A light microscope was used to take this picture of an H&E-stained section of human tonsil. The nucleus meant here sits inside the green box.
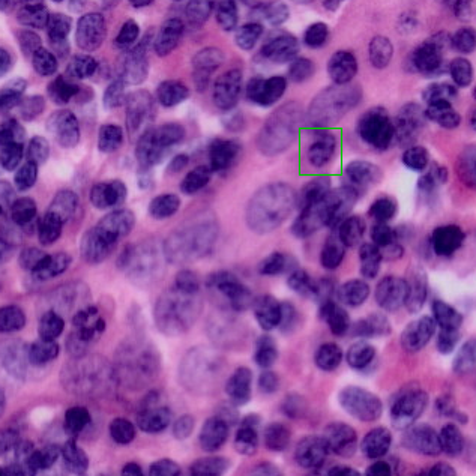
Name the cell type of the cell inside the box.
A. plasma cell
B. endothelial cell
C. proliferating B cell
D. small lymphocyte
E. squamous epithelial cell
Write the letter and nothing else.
B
